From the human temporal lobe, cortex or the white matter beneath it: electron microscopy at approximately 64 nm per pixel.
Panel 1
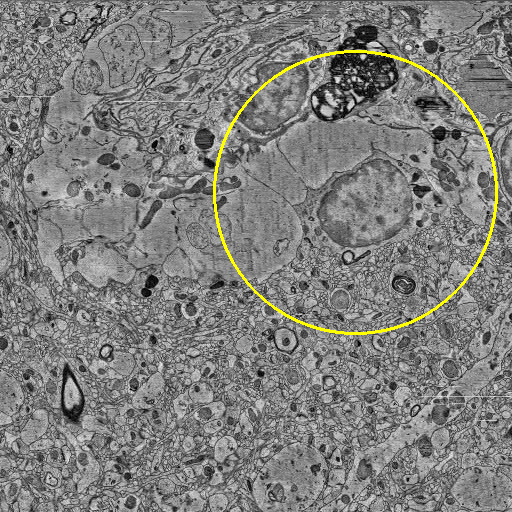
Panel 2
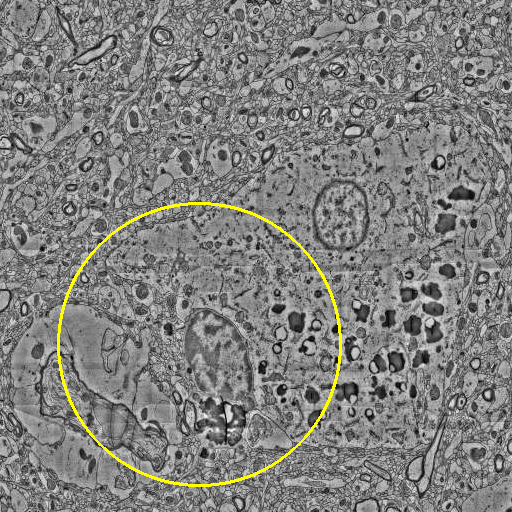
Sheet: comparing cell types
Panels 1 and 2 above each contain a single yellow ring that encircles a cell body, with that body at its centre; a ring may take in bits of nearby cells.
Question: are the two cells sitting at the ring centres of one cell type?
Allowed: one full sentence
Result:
Yes, the ring-centre cells in Panel 1 and Panel 2 are of one type.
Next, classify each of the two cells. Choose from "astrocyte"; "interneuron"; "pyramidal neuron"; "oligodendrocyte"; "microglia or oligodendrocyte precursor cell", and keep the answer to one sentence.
Each cell at the centre of a ring is an oligodendrocyte.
